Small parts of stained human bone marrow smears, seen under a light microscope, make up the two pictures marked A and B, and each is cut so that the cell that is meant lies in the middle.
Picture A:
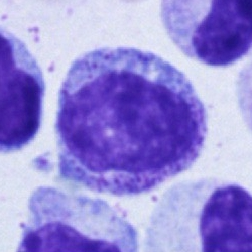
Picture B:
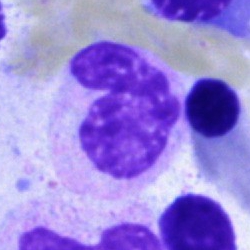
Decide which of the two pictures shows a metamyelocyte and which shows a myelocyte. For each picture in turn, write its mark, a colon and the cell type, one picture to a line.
A: myelocyte
B: metamyelocyte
